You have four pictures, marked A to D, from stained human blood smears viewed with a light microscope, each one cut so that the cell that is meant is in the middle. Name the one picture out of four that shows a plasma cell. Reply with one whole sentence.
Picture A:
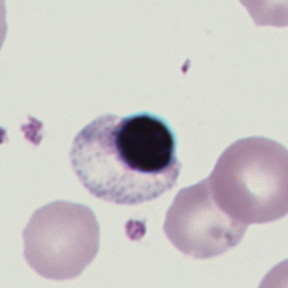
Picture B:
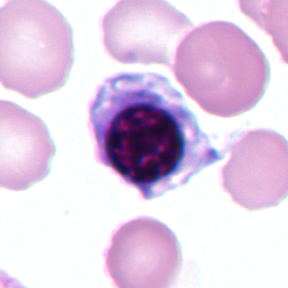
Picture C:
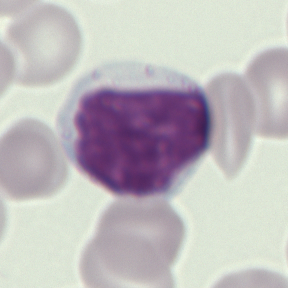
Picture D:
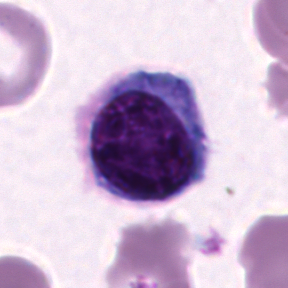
It is picture D that shows the plasma cell.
